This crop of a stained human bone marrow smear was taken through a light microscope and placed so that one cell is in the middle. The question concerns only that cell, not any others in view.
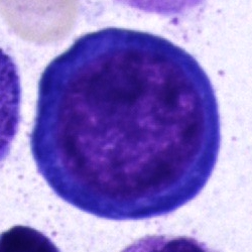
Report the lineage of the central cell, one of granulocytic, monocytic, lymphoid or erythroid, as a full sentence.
The cell in the middle belongs to the erythroid lineage.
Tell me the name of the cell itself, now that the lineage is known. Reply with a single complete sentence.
The central cell shown in this smear crop is a proerythroblast.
